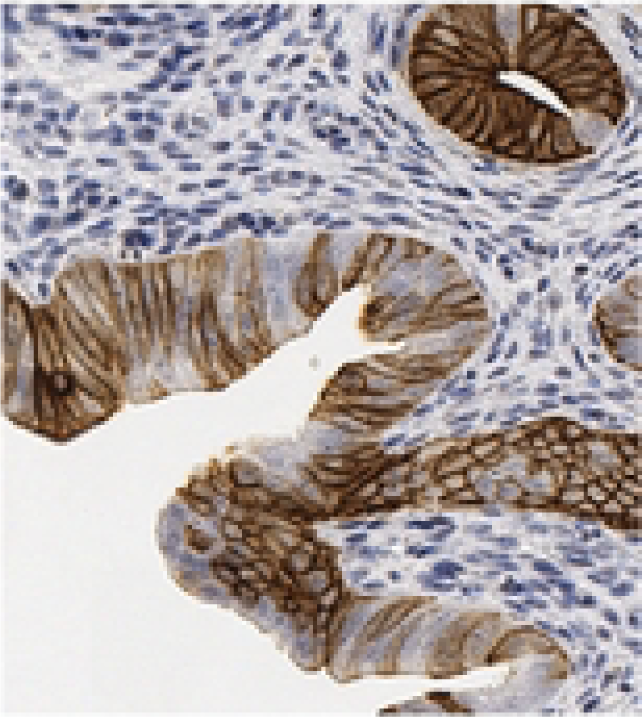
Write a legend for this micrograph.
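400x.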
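This is endometrium with a round gland at top and a strip of luminal epithelium below, set in stroma. The tall columnar epithelial cells are outlined in brown at their membranes, giving a honeycomb or striped look, while their nuclei stay pale blue. Some stretches of the lining are stained more weakly than others. The stromal cells between the epithelia have small oval blue nuclei and no brown.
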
